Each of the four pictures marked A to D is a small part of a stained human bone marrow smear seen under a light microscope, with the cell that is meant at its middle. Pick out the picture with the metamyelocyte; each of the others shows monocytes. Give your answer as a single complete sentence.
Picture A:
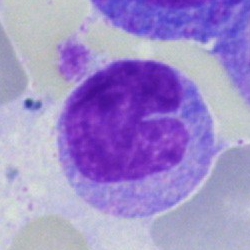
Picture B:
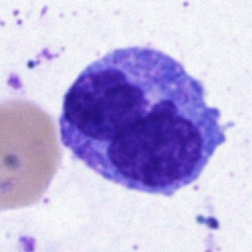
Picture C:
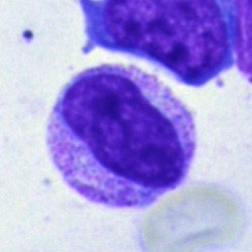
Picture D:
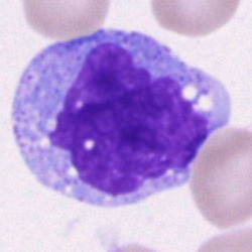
Picture C is the one that shows the metamyelocyte.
